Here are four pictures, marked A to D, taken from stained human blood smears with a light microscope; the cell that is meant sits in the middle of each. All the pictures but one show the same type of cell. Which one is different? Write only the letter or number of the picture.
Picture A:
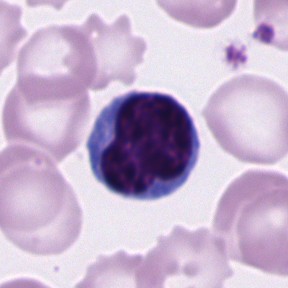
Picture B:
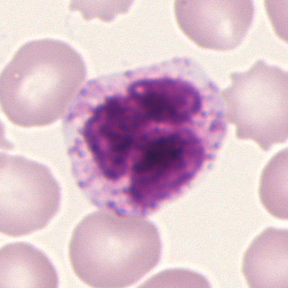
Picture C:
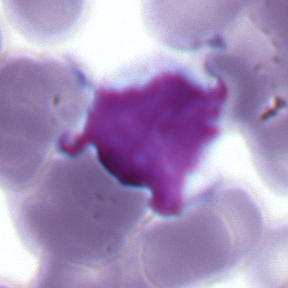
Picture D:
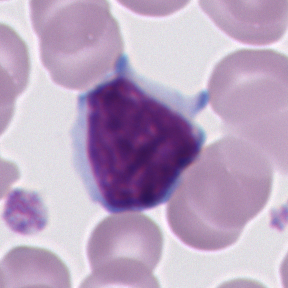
B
